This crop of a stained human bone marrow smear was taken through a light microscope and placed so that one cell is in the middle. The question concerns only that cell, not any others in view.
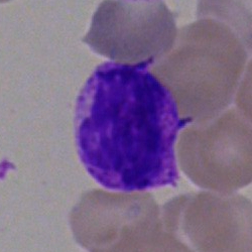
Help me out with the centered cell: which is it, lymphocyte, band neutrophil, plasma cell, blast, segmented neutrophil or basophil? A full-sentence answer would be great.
The cell that lies at the centre of the crop is a basophil.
